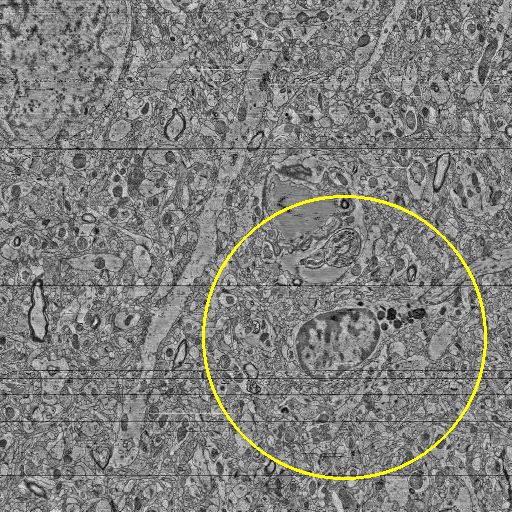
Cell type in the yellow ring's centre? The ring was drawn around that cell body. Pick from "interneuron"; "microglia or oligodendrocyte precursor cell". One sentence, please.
The ringed cell body is that of a microglial cell or oligodendrocyte precursor cell.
